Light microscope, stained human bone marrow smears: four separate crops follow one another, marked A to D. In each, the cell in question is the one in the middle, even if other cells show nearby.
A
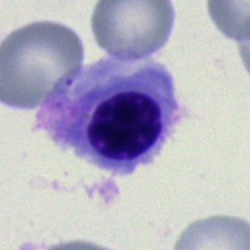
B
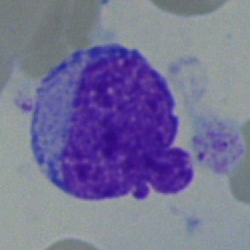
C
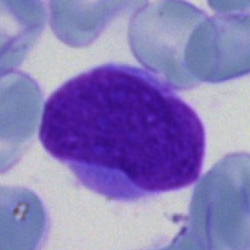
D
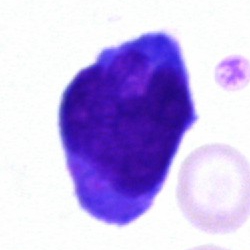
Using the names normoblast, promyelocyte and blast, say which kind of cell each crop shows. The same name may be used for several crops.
A: normoblast
B: blast
C: blast
D: blast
